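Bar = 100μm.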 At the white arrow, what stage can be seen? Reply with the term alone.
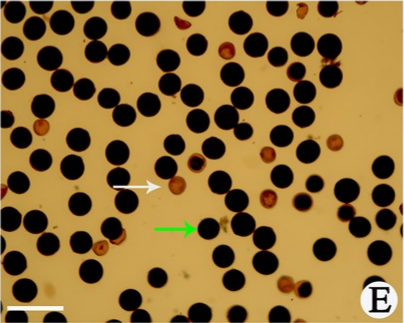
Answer: Abnormal pollens.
